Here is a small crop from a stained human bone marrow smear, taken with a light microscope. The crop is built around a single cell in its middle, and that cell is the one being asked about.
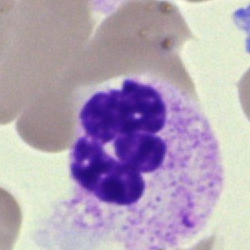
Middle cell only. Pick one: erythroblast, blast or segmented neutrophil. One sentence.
Framed in the middle of the crop is a segmented neutrophil.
